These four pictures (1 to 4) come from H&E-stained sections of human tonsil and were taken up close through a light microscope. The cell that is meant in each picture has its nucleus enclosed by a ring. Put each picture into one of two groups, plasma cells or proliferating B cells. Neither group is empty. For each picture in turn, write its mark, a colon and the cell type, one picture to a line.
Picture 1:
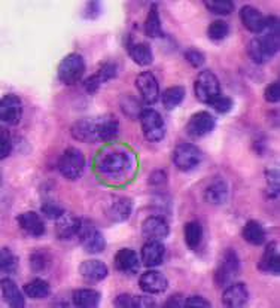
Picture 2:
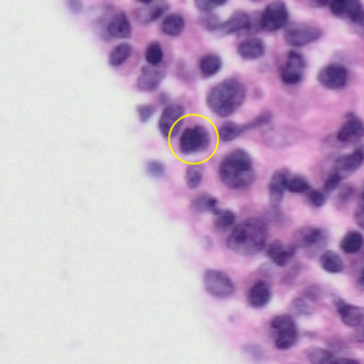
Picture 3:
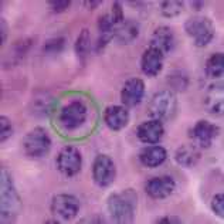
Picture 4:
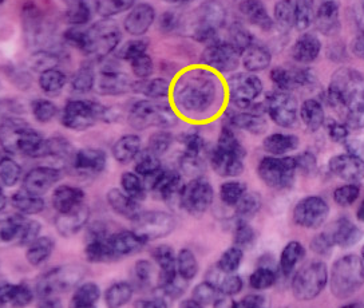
1: plasma cell
2: proliferating B cell
3: plasma cell
4: proliferating B cell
